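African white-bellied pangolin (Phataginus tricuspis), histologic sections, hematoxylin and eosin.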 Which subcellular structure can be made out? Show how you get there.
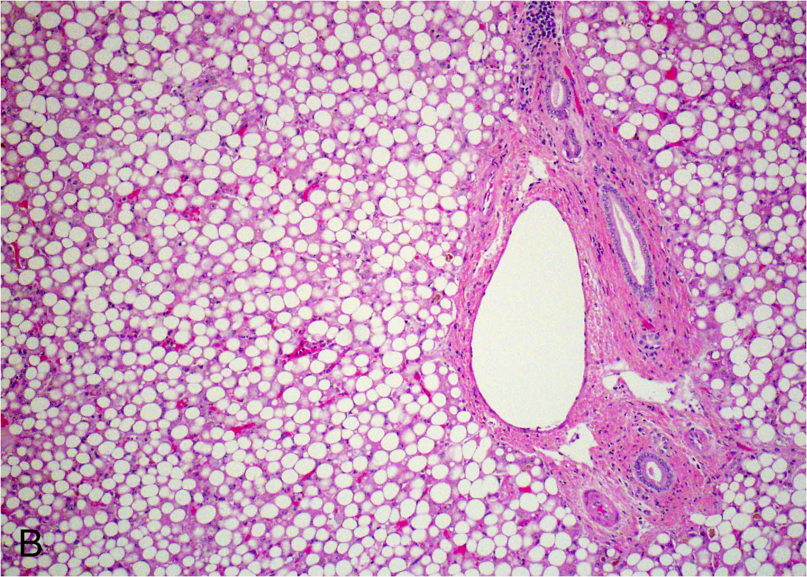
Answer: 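Round, empty-looking clear spaces fill the cell cytoplasm. The spaces are discrete and of varied but mostly large size. Pink cytoplasm and nuclei are pushed to thin rims between the spaces. So: lipid vacuoles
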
